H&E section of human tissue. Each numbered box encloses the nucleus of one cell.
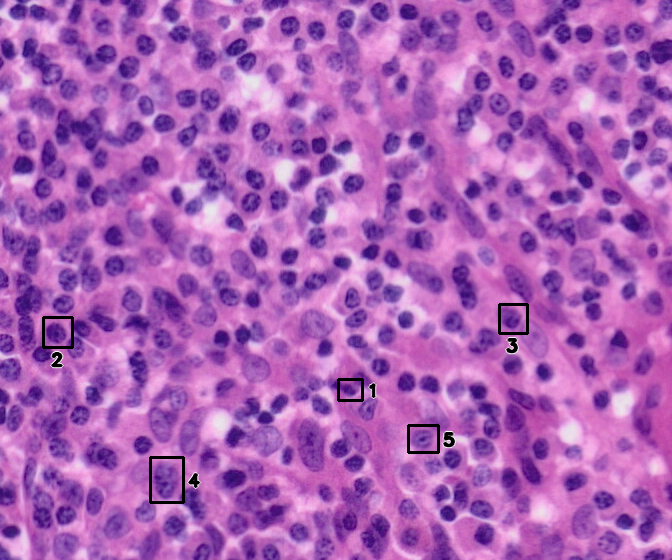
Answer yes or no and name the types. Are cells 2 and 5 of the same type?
Yes, the cells numbered 2 and 5 are both plasma cells.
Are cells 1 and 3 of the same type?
No, cell 1 here is a squamous epithelial cell, and cell 3 here is a plasma cell.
